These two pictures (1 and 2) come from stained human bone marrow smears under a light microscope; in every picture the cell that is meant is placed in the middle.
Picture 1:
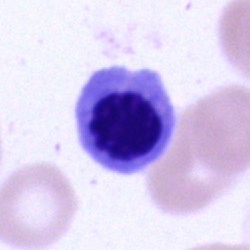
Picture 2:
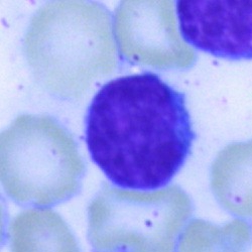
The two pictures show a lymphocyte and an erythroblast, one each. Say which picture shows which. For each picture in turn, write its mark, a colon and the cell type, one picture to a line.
1: erythroblast
2: lymphocyte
